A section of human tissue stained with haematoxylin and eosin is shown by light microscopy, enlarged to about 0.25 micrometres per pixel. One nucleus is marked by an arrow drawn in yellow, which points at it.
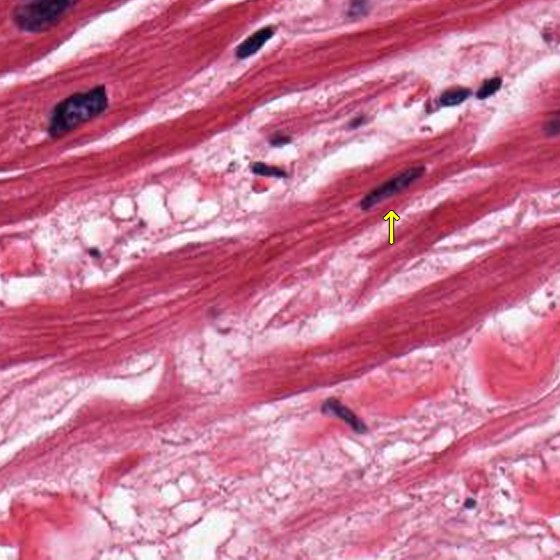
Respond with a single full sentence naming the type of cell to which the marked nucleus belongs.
The marked nucleus, in this picture, belongs to a cardiomyocyte.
